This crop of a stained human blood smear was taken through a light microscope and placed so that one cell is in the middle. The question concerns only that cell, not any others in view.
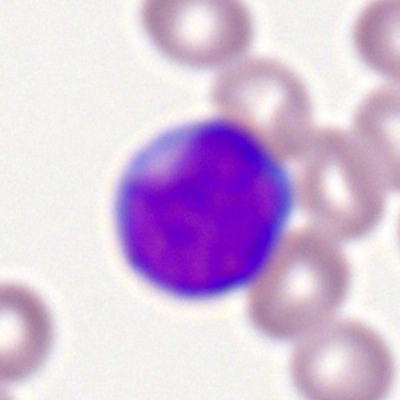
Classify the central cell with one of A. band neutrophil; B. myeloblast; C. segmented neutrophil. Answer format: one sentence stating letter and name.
The cell centred in the crop is a myeloblast, and the correct option is thus B.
